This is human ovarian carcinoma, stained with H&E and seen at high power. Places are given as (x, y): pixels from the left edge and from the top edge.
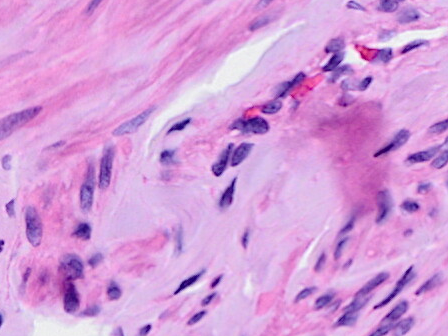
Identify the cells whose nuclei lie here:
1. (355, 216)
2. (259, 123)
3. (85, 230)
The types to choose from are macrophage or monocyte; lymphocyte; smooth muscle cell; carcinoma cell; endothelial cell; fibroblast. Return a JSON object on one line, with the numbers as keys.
{"1": "smooth muscle cell", "2": "endothelial cell", "3": "smooth muscle cell"}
